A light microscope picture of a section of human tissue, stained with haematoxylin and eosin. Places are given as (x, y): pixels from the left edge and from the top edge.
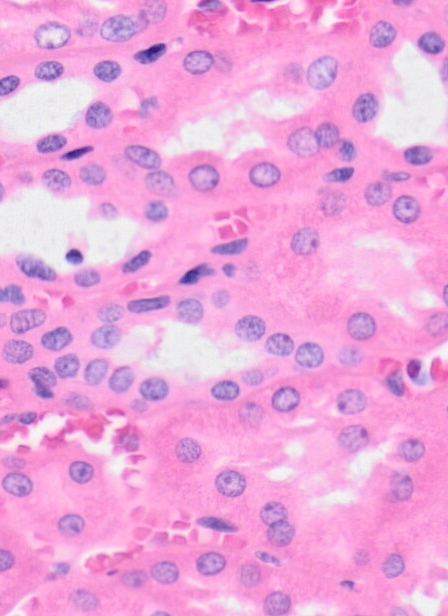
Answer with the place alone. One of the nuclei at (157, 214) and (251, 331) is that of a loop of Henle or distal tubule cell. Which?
(157, 214)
